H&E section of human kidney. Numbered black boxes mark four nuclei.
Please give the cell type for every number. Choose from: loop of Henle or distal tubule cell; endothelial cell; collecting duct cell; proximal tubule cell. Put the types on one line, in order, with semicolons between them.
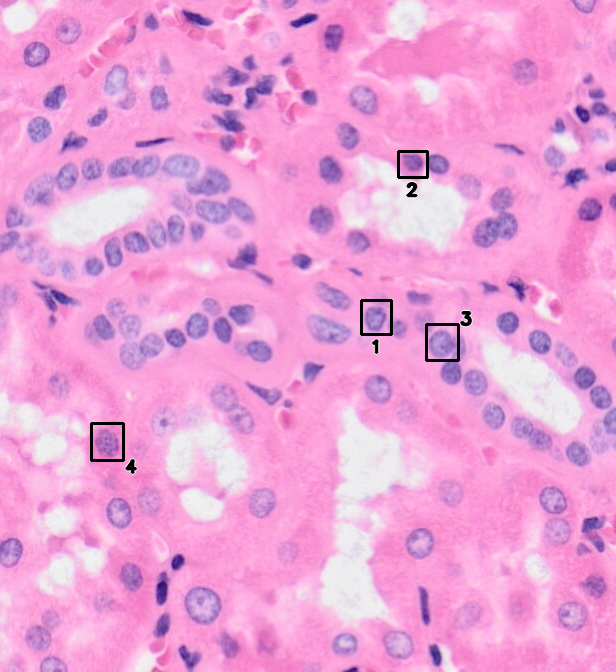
collecting duct cell; loop of Henle or distal tubule cell; collecting duct cell; proximal tubule cell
